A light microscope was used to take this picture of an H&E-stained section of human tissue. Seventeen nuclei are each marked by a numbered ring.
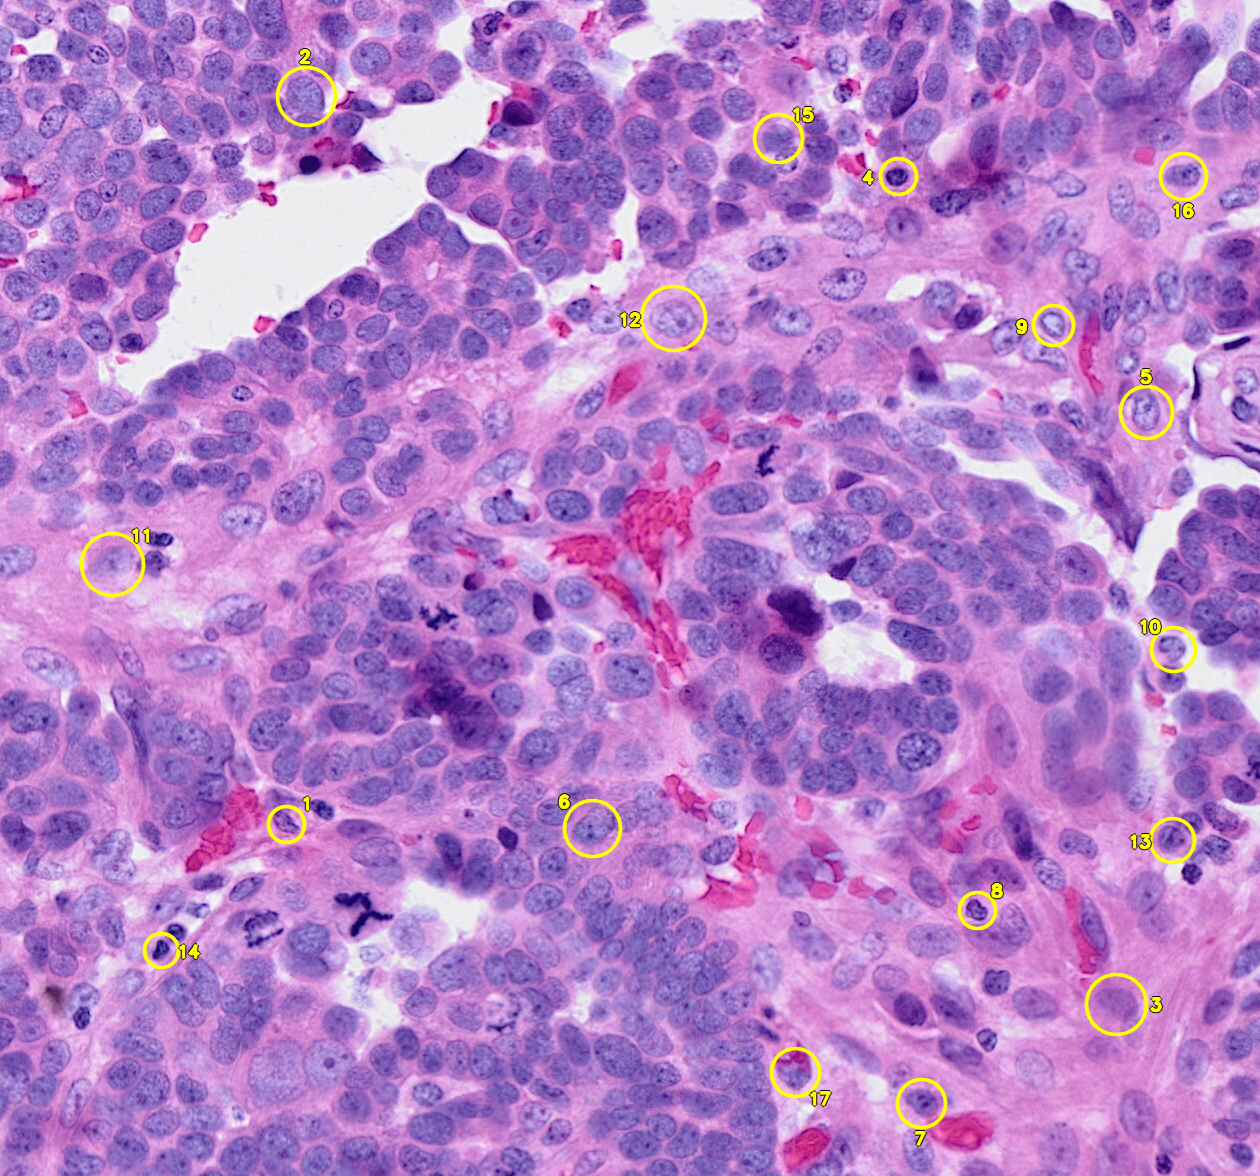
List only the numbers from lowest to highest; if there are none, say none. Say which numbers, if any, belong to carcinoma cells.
2, 6, 15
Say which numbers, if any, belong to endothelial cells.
17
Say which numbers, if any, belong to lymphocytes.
4, 8, 14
